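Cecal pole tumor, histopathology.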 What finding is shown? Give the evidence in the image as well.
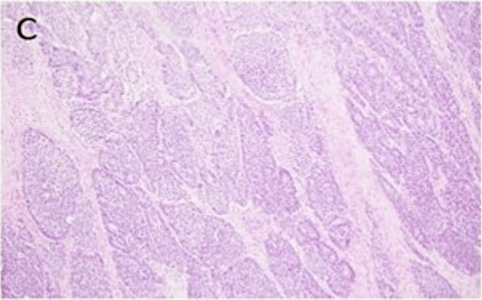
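Tumor cells form rounded and elongated nests. The nests are separated by pale, thin strands of stroma. That points to this answer: Organoid.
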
